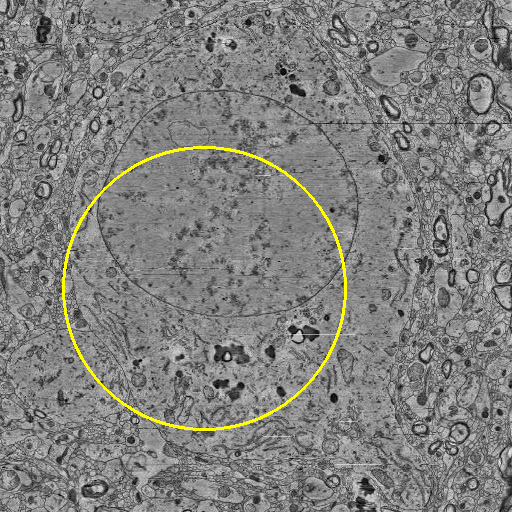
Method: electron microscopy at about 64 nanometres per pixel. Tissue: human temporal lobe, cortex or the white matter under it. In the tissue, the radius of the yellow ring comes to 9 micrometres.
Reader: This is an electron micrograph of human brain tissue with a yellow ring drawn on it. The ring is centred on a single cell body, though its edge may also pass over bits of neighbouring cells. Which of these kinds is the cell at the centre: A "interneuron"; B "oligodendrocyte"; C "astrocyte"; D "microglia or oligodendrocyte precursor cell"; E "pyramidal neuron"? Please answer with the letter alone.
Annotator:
E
